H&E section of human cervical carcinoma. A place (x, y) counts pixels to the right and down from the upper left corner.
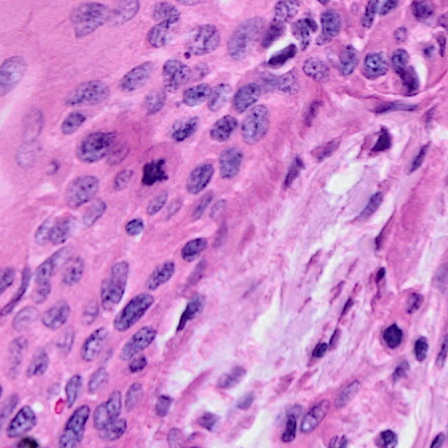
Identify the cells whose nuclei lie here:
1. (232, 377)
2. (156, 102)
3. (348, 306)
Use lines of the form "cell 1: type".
cell 1: fibroblast
cell 2: squamous carcinoma cell
cell 3: fibroblast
